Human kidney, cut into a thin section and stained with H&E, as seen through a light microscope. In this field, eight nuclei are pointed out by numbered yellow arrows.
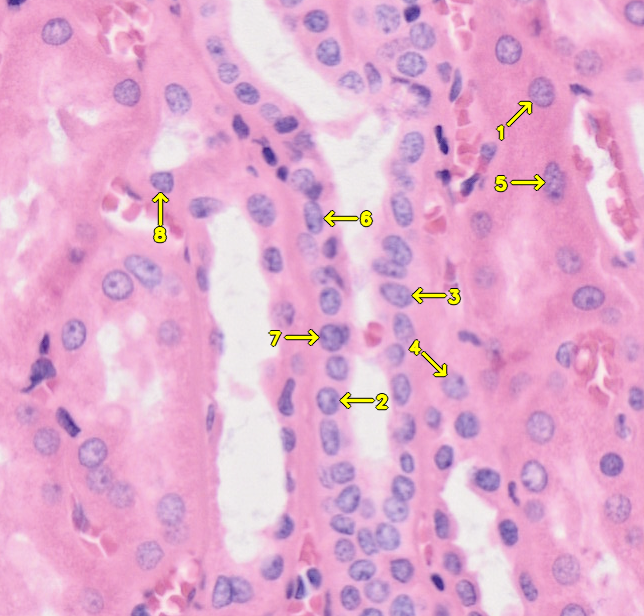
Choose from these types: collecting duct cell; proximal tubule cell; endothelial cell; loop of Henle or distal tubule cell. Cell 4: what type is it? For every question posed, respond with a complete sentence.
The cell identified by the number 4 is a loop of Henle or distal tubule cell.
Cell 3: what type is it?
Nucleus 3 in this section belongs to a collecting duct cell.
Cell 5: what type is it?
The one numbered 5 among the marked cells is a proximal tubule cell.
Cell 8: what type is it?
The label 8 in this section denotes a loop of Henle or distal tubule cell.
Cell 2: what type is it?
The cell pointed out as number 2 is a collecting duct cell.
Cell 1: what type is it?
The nucleus marked 1 is the nucleus of a proximal tubule cell.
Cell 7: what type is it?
The correct label for cell 7 is a collecting duct cell.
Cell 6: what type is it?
The cell pointed out by number 6 is a collecting duct cell.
